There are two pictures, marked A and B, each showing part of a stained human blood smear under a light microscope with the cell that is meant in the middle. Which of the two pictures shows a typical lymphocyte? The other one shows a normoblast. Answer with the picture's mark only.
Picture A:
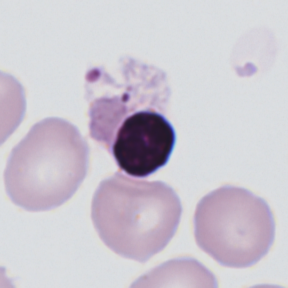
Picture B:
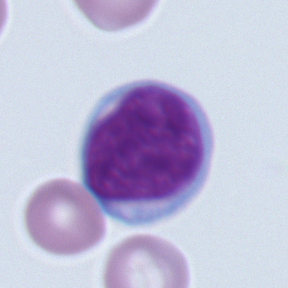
B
